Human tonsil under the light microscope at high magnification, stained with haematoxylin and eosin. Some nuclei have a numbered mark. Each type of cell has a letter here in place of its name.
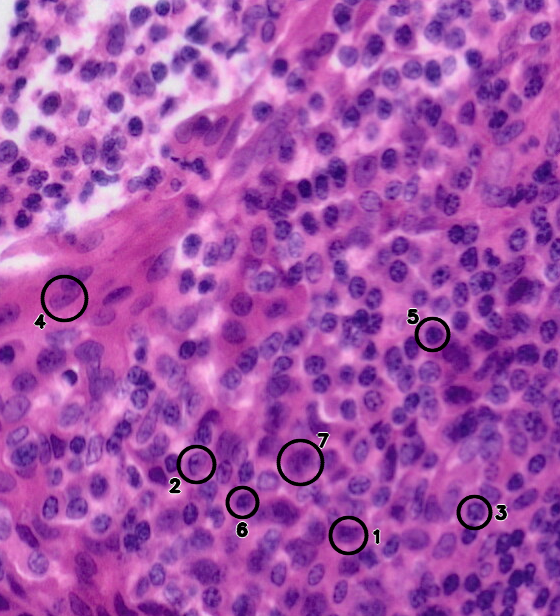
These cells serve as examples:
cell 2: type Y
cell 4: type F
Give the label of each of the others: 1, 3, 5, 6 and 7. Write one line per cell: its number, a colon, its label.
1: type F
3: type Y
5: type Y
6: type Y
7: type F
